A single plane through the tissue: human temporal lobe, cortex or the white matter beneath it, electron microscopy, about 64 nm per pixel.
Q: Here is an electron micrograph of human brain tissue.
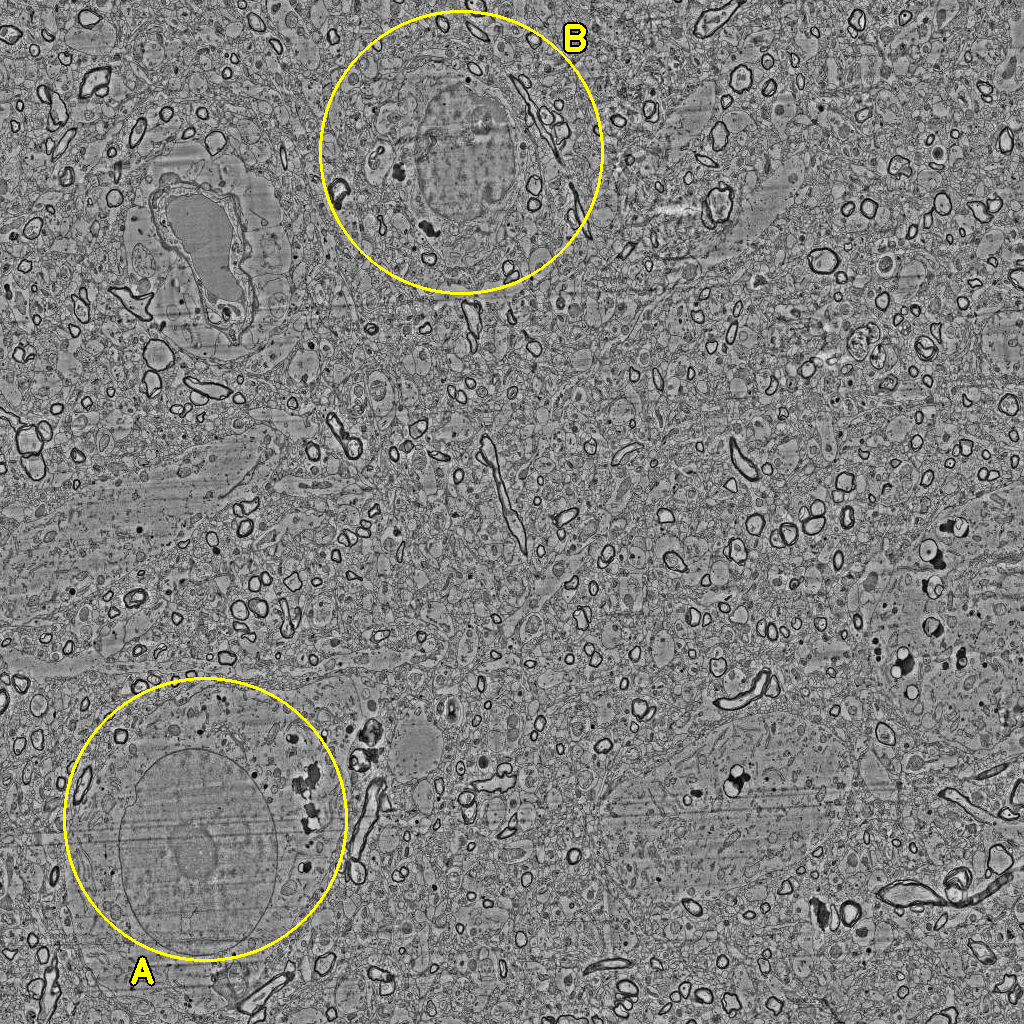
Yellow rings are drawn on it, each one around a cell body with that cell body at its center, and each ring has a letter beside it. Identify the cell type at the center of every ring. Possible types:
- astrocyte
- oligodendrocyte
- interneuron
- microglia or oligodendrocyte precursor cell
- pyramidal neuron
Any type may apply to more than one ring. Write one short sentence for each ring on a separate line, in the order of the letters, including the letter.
Centered in ring A is a pyramidal neuron.
Centered in ring B is an interneuron.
